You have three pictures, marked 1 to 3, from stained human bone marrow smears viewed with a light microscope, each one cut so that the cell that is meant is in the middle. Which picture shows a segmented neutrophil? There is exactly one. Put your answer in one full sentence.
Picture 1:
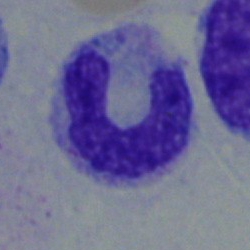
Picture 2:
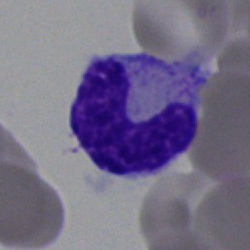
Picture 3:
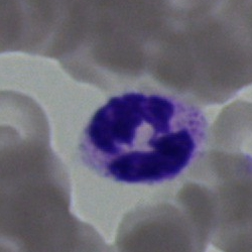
The cell in picture 3 is the segmented neutrophil.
